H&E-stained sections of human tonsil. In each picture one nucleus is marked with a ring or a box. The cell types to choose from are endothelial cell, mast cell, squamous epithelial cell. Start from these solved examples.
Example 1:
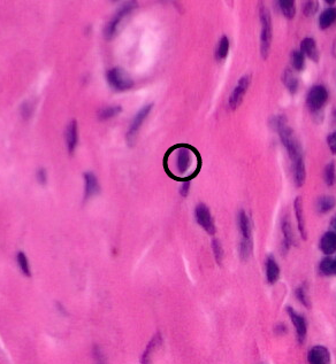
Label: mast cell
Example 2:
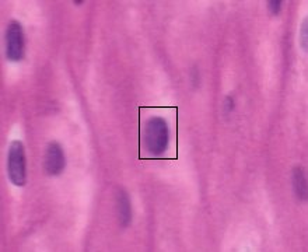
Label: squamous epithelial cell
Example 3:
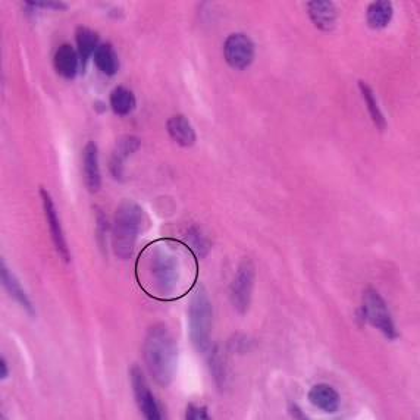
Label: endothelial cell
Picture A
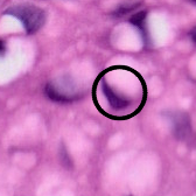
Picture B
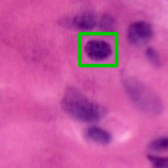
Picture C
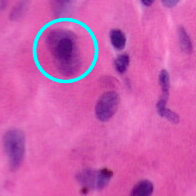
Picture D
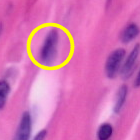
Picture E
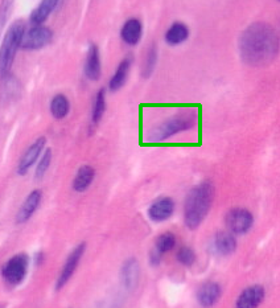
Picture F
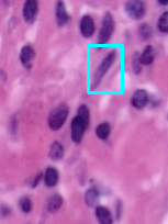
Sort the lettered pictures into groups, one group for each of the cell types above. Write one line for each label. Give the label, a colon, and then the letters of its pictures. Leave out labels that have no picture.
endothelial cell: C, D, E, F
mast cell: B
squamous epithelial cell: A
